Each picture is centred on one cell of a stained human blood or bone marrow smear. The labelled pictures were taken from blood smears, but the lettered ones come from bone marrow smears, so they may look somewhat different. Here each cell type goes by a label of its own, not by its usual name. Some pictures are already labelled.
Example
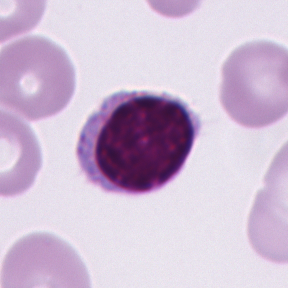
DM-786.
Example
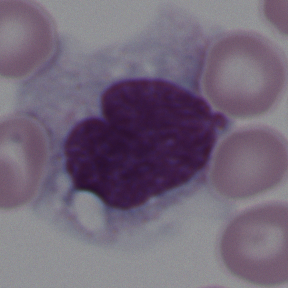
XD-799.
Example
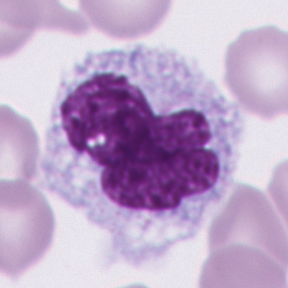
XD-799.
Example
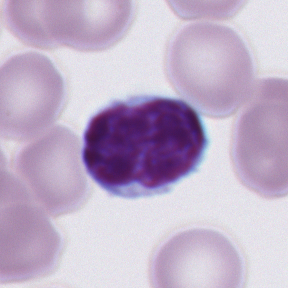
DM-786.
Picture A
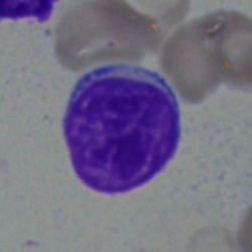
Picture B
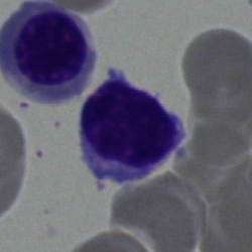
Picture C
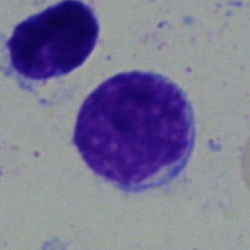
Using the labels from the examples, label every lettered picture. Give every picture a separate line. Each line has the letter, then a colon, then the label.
A: DM-786.
B: DM-786.
C: DM-786.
